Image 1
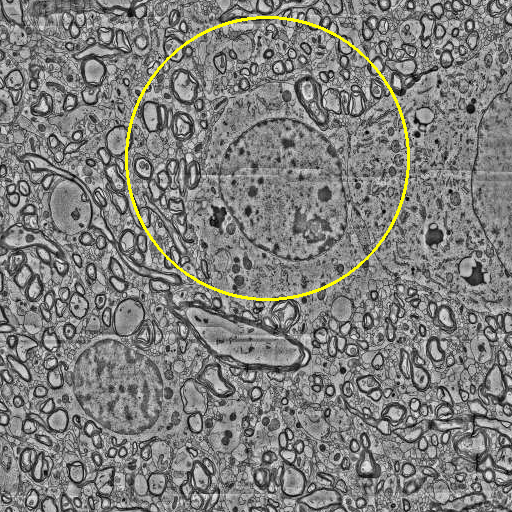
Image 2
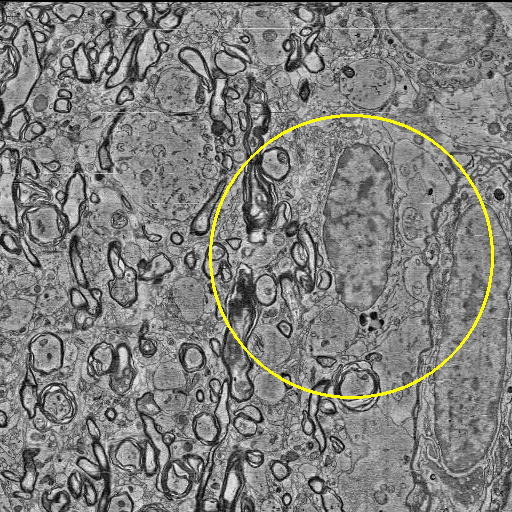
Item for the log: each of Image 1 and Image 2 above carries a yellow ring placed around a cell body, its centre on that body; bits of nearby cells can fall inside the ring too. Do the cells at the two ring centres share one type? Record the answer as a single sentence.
No, the two cells at the ring centres in Image 1 and Image 2 are of two types.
